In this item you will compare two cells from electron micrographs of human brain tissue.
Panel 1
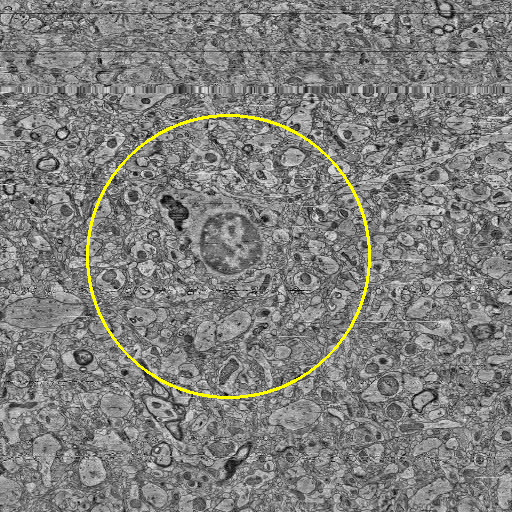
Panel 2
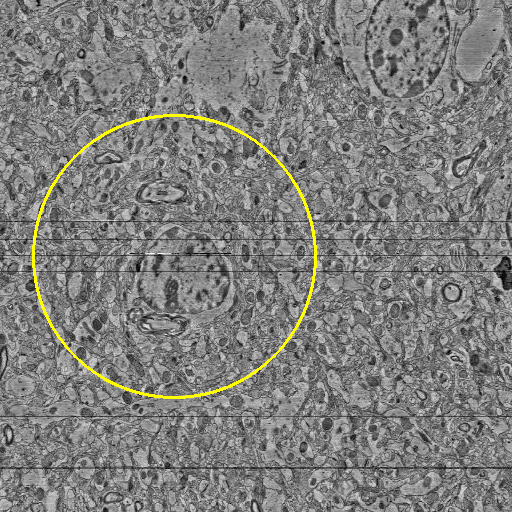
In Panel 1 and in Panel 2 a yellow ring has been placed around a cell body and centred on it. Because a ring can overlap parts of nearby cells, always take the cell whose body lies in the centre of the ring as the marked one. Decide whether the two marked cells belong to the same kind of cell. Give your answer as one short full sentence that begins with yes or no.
No, the two marked cells belong to two kinds of cell.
